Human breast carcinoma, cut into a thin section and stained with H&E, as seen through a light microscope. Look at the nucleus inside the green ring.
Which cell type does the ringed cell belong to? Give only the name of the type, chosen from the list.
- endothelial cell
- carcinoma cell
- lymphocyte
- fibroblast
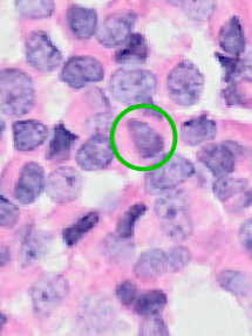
carcinoma cell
